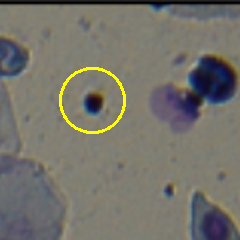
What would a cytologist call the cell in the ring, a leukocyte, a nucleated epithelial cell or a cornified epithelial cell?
A cytologist would call it a leukocyte.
